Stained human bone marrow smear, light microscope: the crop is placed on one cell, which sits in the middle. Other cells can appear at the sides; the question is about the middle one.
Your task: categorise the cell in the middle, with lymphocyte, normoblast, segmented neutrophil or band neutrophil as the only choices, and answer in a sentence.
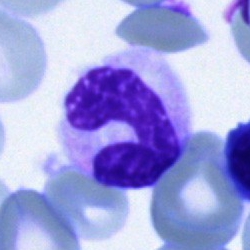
The single cell at the center of the crop is a segmented neutrophil.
